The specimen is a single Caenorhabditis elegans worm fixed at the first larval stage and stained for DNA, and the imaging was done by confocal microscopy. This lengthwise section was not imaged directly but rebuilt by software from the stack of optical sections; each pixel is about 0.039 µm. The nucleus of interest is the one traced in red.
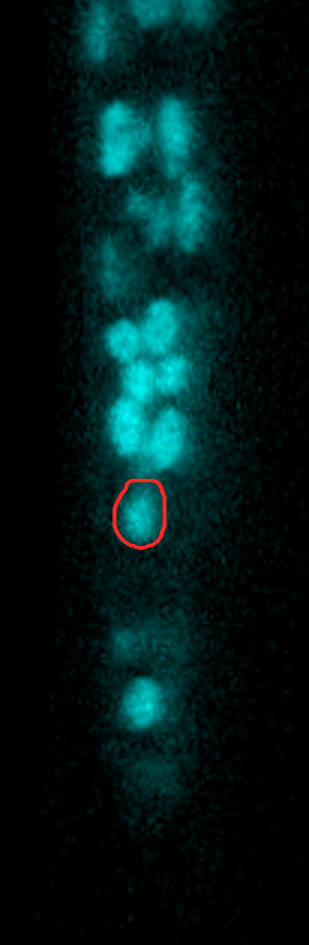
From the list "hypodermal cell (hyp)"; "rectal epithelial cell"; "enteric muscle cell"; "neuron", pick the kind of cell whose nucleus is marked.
rectal epithelial cell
